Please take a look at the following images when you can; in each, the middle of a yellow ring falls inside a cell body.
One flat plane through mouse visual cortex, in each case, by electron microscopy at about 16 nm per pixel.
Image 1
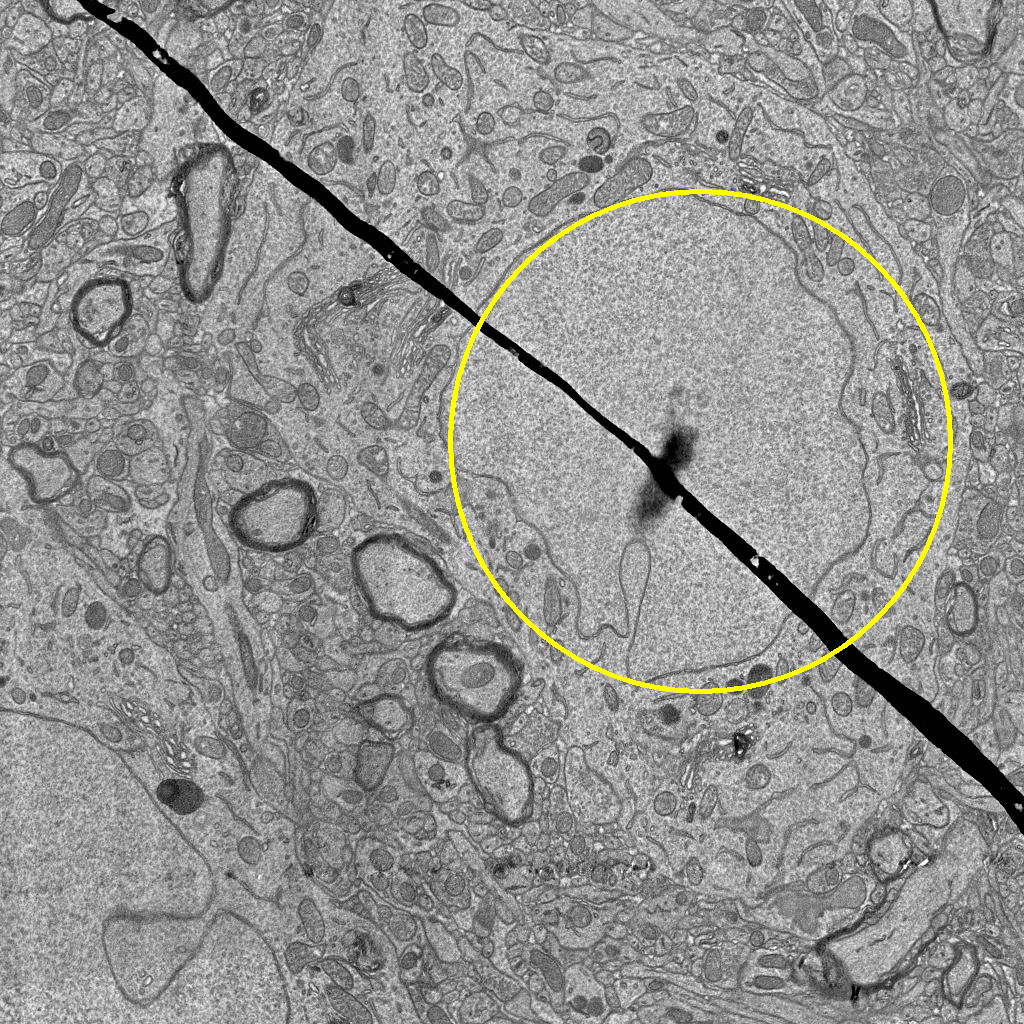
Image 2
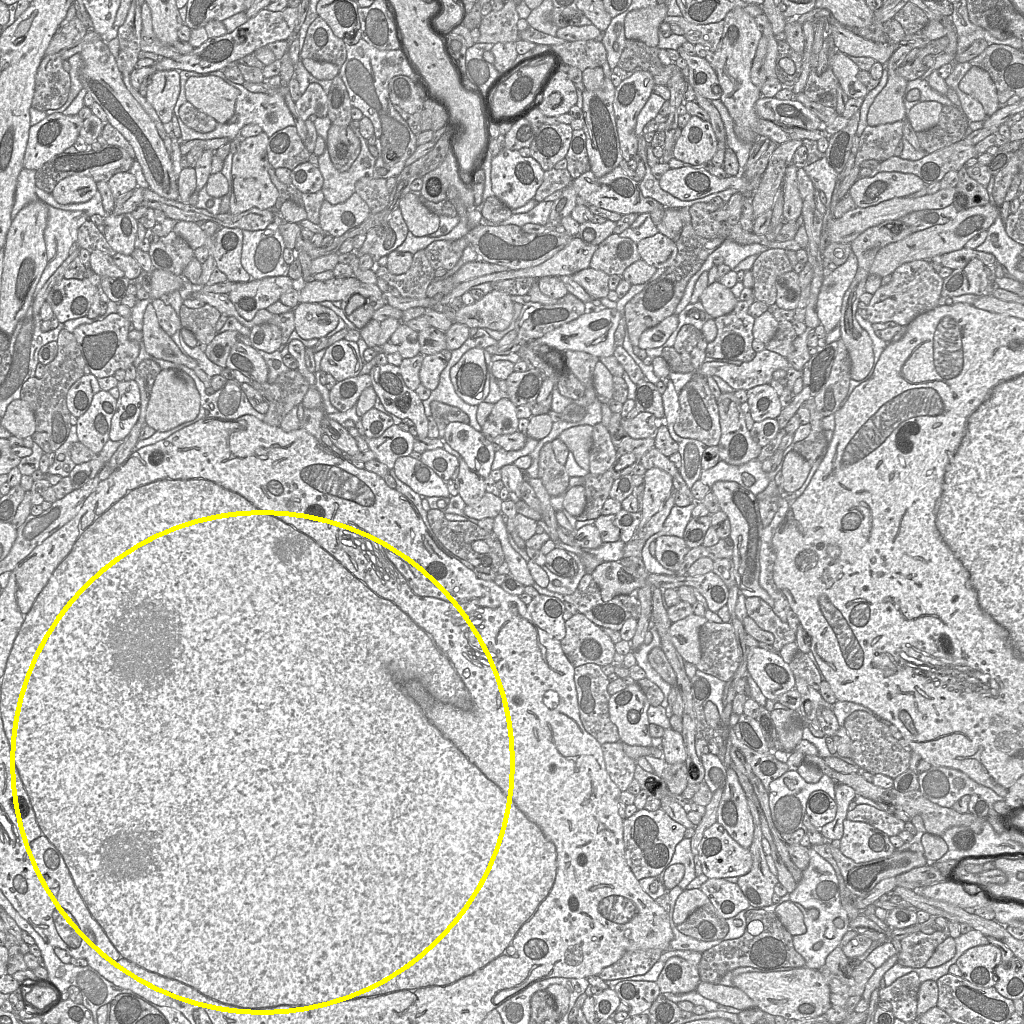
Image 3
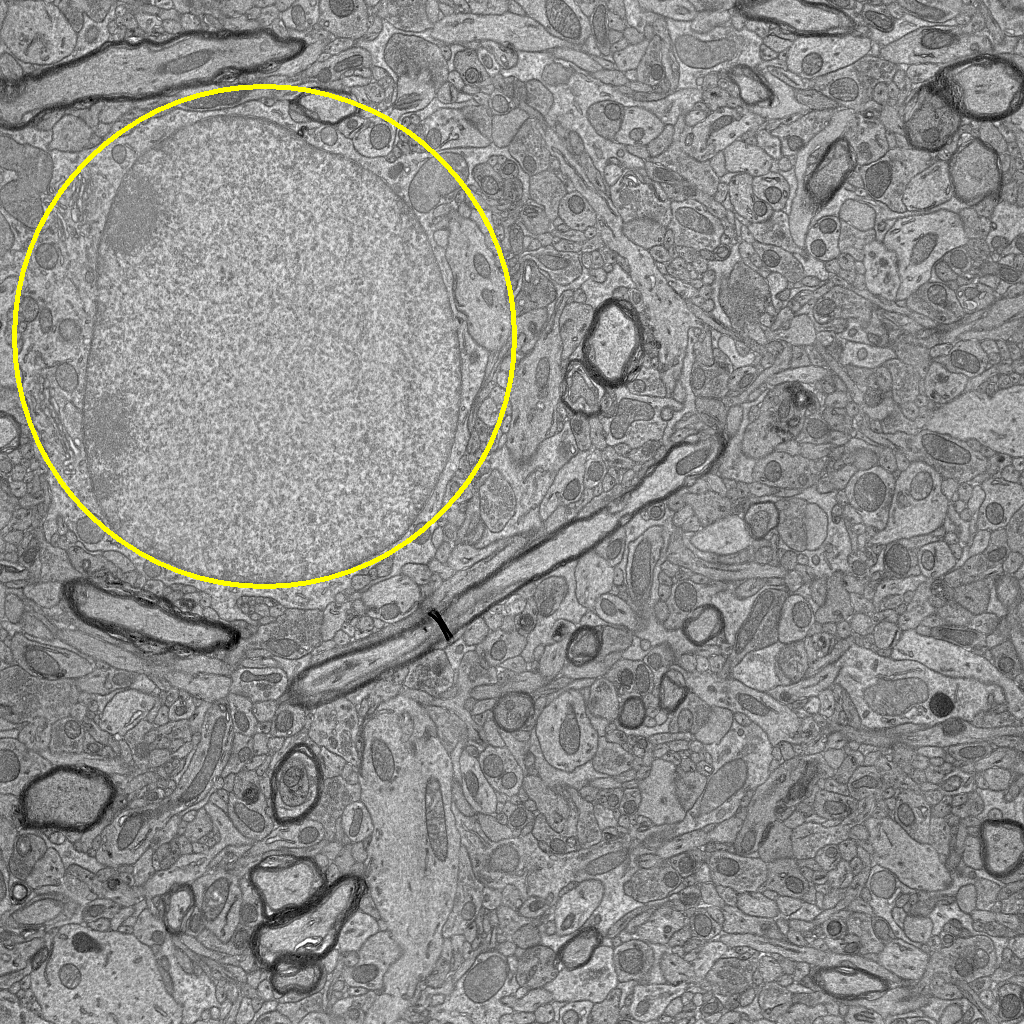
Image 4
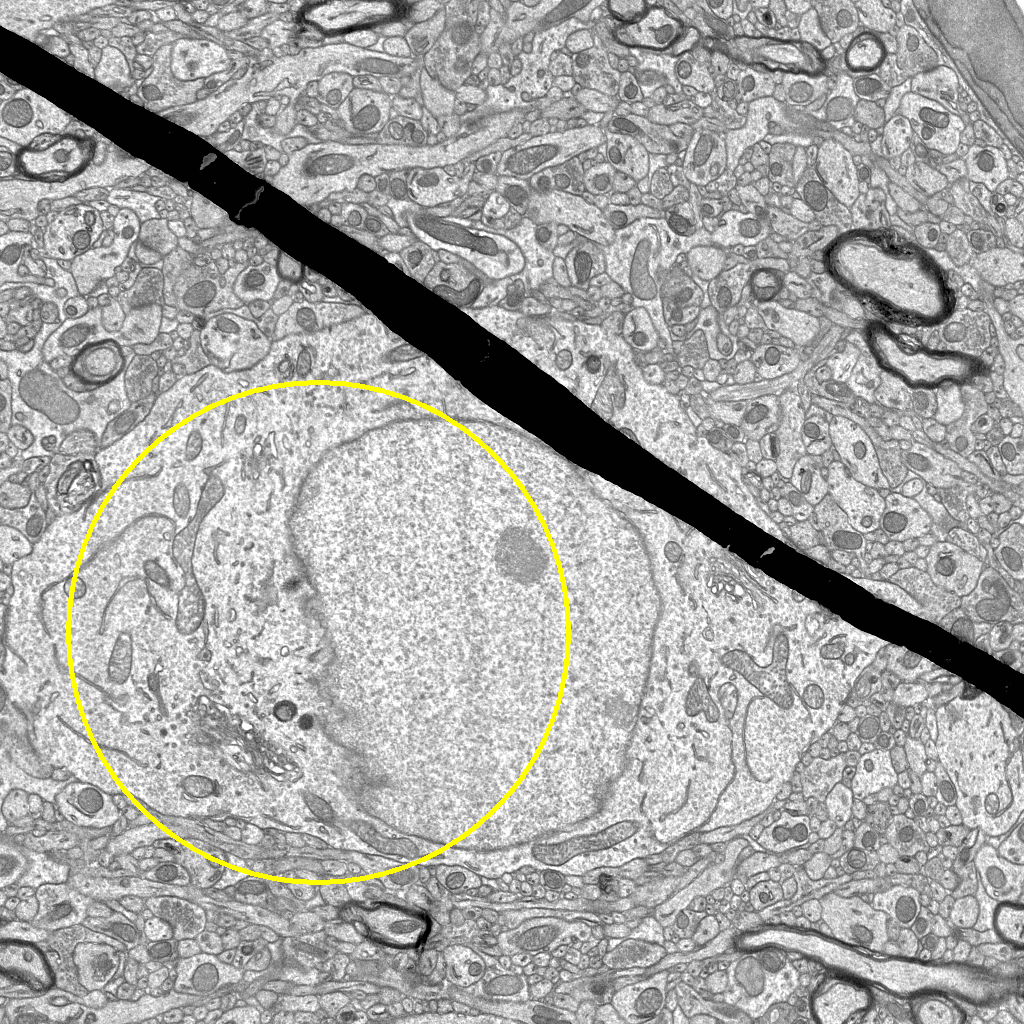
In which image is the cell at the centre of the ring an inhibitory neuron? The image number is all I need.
1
